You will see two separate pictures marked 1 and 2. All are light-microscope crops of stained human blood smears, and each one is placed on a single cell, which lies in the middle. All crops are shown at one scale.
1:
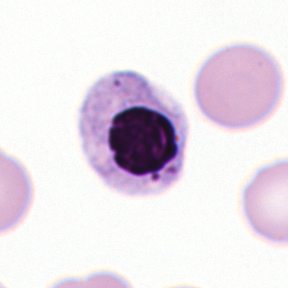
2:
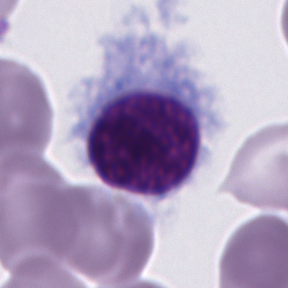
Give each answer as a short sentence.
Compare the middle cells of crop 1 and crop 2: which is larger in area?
Larger is the cell in crop 2, at roughly 1.5 times the area of the other.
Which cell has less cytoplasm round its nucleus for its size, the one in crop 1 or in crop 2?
Of the two, the nucleus in crop 2 makes up the greater part of its cell.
